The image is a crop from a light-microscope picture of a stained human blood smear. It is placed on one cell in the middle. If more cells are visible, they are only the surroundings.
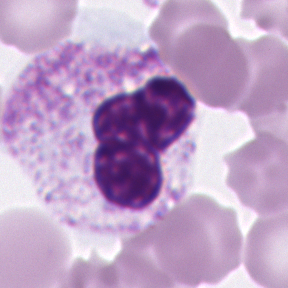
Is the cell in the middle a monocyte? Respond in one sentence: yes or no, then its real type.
No, this cell in the middle is a neutrophil, so it is not a monocyte.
